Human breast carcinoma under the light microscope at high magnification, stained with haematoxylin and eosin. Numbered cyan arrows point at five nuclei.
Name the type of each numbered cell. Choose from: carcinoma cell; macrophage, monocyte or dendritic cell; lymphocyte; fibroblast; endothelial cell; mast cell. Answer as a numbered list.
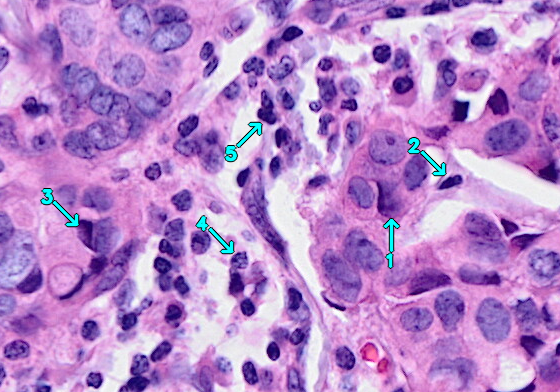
1. carcinoma cell
2. lymphocyte
3. carcinoma cell
4. lymphocyte
5. lymphocyte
